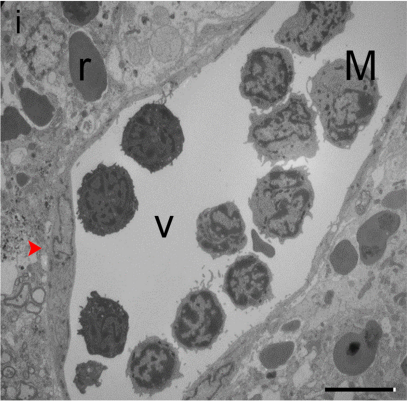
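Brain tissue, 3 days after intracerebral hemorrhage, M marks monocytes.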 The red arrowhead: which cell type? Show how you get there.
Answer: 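The arrowhead points at the thin cellular layer lining the wall of a large lumen. The lining layer is flat and thin, bordering the lumen directly.
Blood vessel endothelial cell.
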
